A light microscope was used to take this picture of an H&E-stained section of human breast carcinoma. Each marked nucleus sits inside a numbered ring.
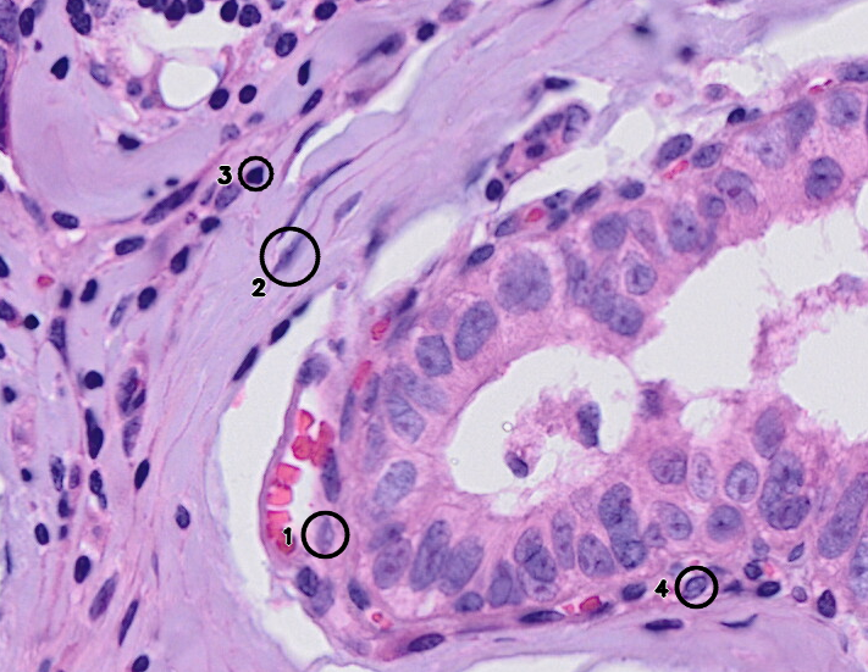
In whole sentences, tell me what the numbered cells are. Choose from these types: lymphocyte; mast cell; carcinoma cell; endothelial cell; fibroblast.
Cell 1 is an endothelial cell, cell 2 is a fibroblast, cell 3 is a lymphocyte and cell 4 is an endothelial cell.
